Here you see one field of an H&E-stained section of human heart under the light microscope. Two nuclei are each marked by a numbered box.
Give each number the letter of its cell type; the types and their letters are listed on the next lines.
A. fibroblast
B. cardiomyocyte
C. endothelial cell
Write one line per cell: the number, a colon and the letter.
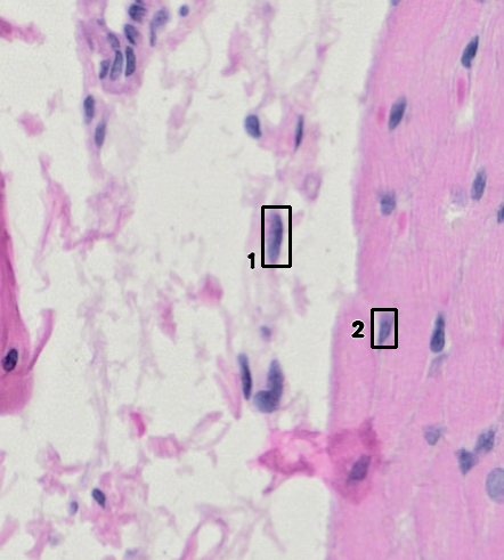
1: A
2: C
